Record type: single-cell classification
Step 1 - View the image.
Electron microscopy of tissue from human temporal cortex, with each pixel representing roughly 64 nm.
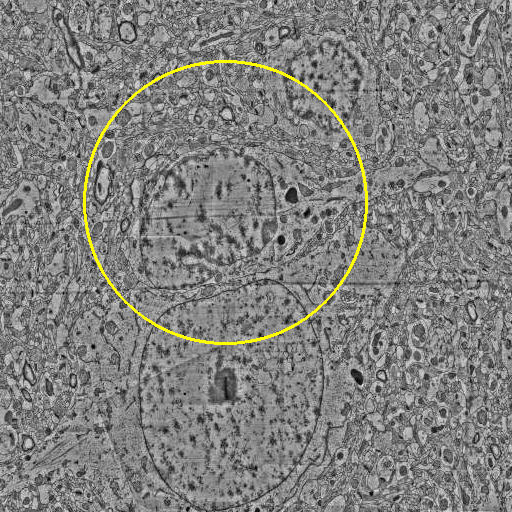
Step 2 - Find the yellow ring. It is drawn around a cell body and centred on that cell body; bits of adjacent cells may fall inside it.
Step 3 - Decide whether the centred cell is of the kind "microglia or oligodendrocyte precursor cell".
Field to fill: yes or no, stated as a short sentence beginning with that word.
No, the centred cell belongs to another kind.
